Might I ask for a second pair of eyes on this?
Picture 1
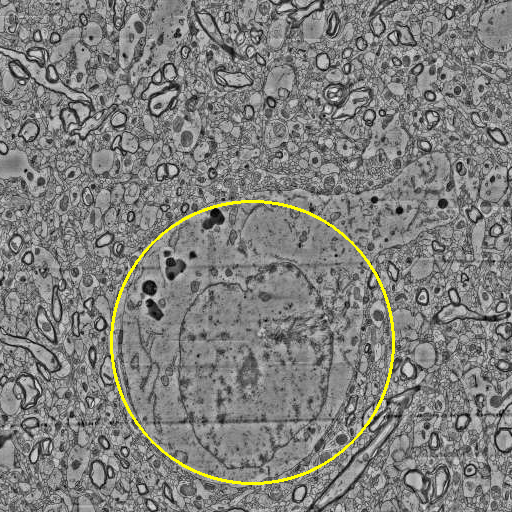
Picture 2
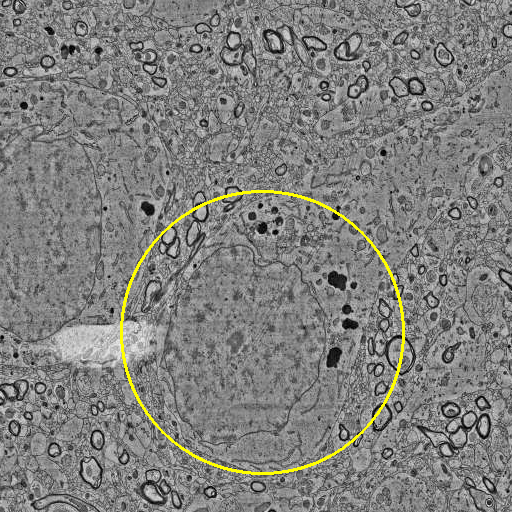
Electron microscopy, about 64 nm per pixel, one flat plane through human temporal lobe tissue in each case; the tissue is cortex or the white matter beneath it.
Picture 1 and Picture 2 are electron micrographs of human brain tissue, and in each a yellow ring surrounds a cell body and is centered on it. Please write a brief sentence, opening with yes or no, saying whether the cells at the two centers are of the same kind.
Yes, the cells are of the same kind.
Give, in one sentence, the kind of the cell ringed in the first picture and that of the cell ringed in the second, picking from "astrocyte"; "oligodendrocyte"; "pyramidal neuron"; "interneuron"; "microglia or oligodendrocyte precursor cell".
Each of the ringed cells, first and second, is a pyramidal neuron.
